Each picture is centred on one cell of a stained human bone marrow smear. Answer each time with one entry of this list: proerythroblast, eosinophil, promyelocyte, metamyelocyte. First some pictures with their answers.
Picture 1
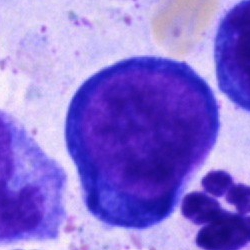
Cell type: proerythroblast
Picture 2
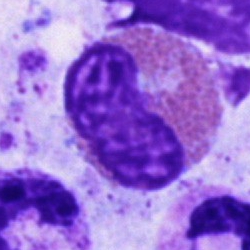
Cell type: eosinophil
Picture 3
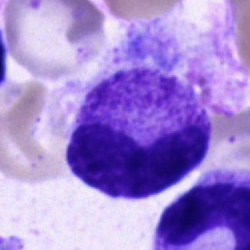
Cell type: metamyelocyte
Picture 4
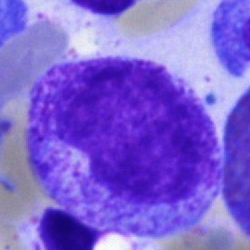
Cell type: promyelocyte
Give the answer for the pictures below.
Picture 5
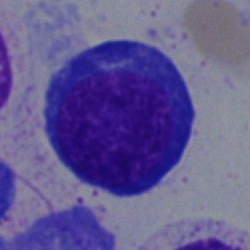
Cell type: proerythroblast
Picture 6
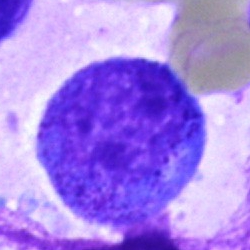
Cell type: promyelocyte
